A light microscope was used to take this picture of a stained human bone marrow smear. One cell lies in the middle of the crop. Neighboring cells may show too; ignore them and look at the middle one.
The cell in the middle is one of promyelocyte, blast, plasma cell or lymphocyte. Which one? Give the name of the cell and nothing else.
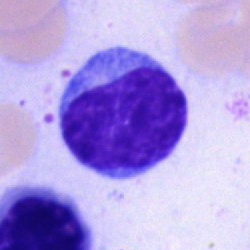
lymphocyte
